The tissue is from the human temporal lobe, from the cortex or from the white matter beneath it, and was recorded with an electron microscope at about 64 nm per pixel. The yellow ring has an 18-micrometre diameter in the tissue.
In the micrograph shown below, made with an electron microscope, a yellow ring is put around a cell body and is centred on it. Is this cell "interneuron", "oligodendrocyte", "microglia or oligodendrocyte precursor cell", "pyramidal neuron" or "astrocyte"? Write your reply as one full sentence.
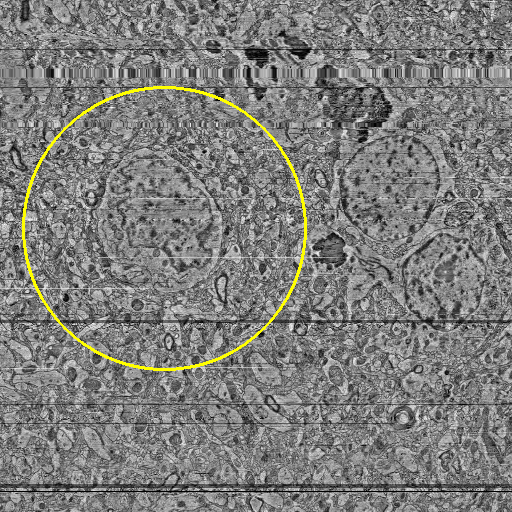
In the micrograph, an interneuron is the cell at the centre of the yellow ring.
